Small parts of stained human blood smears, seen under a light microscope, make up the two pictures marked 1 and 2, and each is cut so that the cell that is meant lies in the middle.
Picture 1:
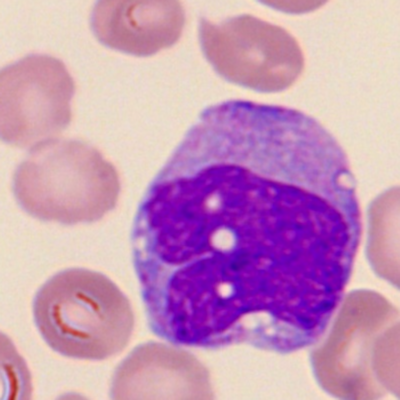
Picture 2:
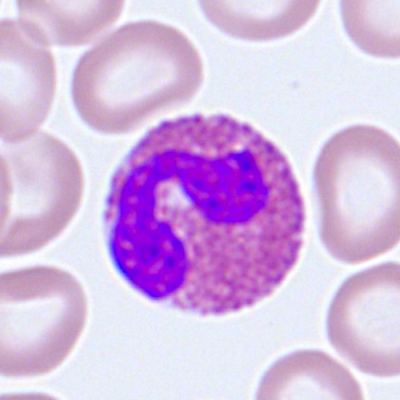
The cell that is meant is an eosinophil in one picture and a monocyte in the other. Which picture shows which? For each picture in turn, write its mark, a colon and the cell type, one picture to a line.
1: monocyte
2: eosinophil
